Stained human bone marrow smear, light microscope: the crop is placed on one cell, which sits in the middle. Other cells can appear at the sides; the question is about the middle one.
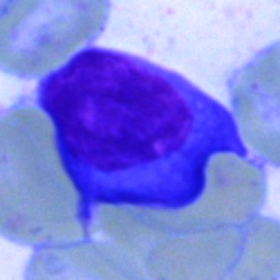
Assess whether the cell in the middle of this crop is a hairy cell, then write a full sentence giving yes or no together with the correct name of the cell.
No, the centre of the crop is taken up by a plasma cell, not a hairy cell.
